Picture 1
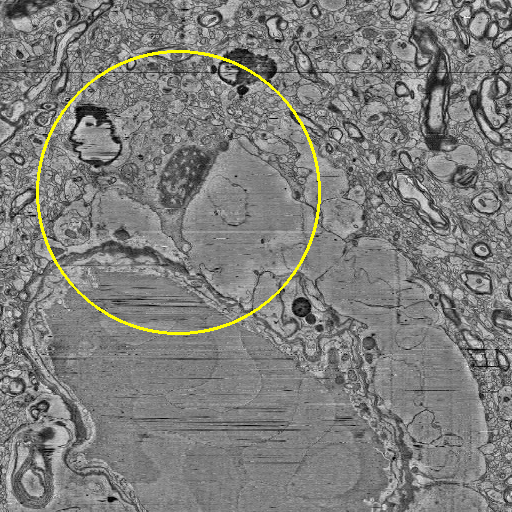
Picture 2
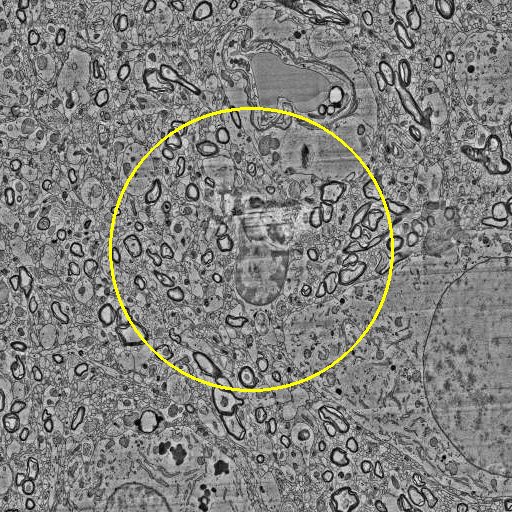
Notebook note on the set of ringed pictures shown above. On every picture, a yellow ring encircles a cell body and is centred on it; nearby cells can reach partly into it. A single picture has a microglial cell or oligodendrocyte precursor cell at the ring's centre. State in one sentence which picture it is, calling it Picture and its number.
Picture 2 is the one whose ring is centred on the sought cell.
